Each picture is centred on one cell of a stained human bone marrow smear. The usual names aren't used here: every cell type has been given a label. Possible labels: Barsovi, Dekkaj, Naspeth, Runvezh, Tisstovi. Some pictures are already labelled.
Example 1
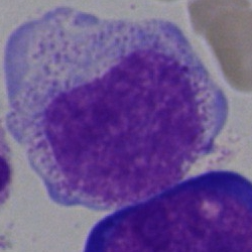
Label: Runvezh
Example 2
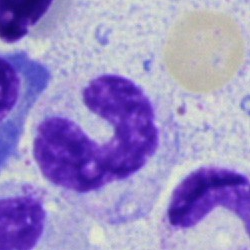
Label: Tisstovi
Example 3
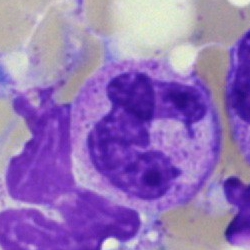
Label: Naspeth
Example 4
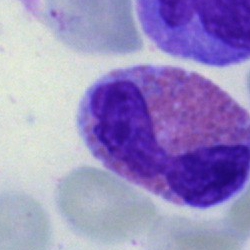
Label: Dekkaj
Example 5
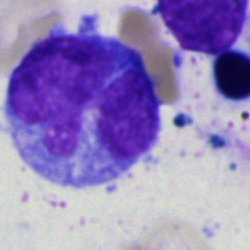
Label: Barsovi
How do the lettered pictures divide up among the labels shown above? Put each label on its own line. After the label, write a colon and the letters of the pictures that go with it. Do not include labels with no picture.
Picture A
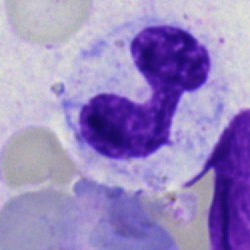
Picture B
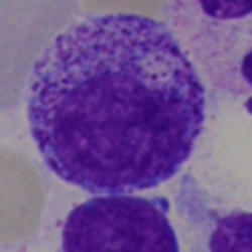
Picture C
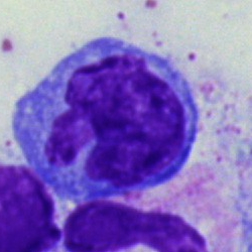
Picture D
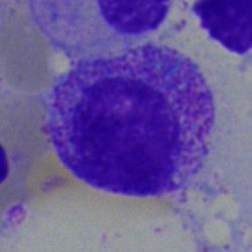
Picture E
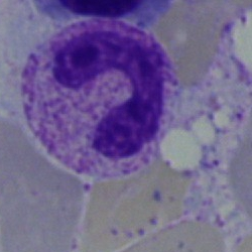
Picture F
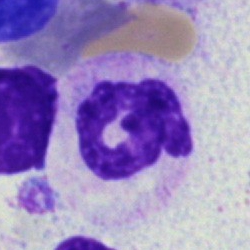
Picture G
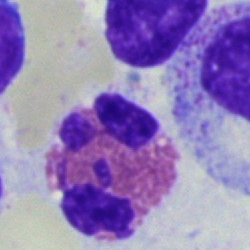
Barsovi: C
Dekkaj: G
Naspeth: A, E, F
Runvezh: B, D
